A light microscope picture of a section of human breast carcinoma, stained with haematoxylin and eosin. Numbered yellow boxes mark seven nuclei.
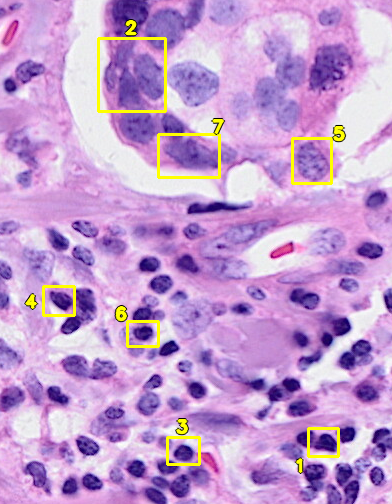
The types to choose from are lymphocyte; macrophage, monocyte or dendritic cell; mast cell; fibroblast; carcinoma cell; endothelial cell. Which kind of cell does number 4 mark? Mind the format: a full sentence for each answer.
The cell identified by the number 4 is a lymphocyte.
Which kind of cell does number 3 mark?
Regarding cell 3, this one is a lymphocyte.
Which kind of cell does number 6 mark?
The marked cell with the number 6 is recognised as a lymphocyte.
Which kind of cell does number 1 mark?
Of the numbered cells, the one labelled 1 is a lymphocyte.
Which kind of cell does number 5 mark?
The cell to which the number 5 is assigned is a carcinoma cell.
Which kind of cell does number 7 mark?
The cell that carries the label 7 is a carcinoma cell.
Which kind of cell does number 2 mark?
Recognised here as a carcinoma cell is the cell numbered 2.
